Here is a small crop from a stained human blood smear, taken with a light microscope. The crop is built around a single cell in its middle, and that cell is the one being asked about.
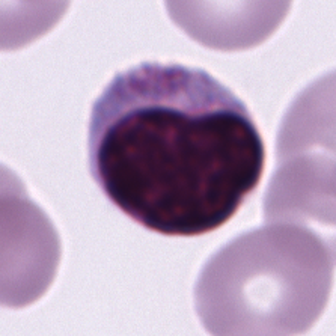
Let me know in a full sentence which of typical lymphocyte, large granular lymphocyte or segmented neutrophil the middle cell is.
The single cell at the center of the crop is a large granular lymphocyte.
